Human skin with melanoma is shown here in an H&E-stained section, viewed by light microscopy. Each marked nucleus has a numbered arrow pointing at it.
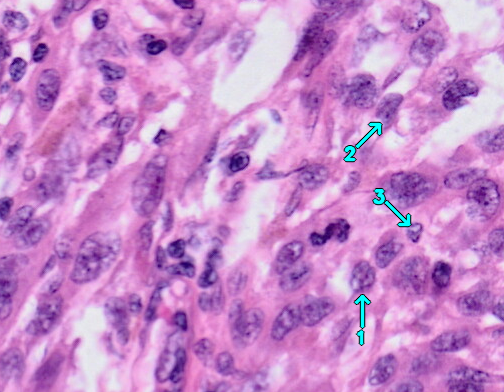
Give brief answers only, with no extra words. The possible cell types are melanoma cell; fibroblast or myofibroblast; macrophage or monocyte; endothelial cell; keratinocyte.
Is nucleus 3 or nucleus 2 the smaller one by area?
3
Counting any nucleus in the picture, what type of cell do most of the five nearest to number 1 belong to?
melanoma cell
